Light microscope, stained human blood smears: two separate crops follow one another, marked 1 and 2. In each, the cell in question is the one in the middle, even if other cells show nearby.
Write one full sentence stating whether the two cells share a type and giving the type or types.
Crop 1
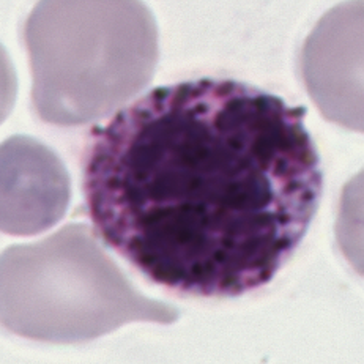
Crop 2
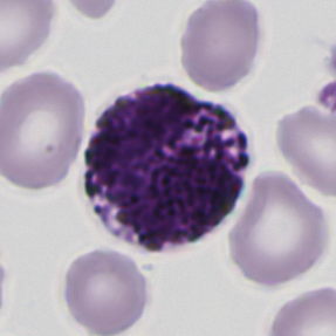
Yes, the two crops are alike in showing basophils.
